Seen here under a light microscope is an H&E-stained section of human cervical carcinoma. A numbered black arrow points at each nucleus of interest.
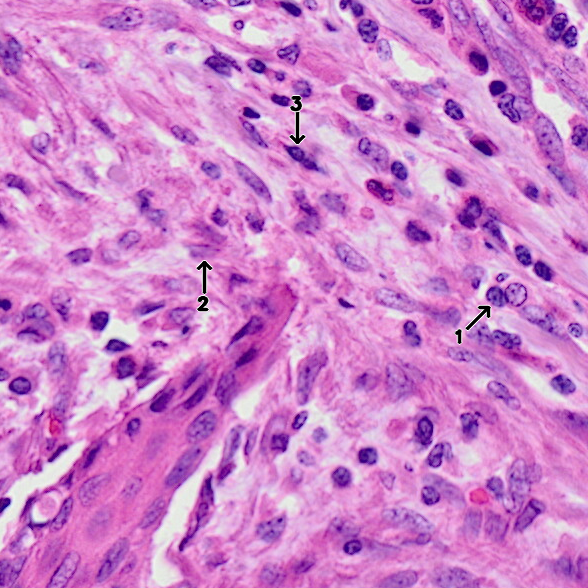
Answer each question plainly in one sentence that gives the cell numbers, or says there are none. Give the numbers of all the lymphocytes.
Cells 1 and 3 share one type; they are lymphocytes.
